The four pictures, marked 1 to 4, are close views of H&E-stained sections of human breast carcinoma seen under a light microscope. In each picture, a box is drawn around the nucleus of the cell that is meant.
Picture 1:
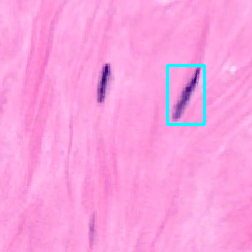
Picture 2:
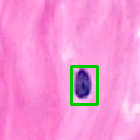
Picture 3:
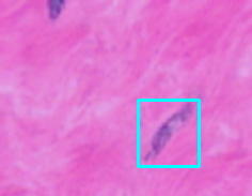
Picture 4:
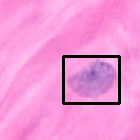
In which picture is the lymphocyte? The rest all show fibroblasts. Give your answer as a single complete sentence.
The lymphocyte is the one in picture 2.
